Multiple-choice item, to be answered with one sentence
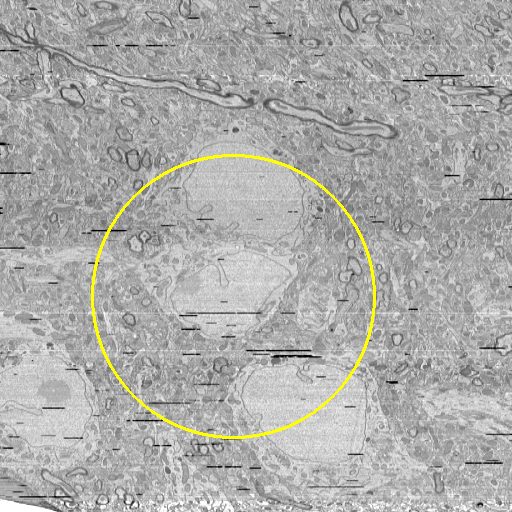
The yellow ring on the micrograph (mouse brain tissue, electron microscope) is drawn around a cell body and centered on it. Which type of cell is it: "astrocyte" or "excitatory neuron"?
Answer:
The ring is centered on an excitatory neuron.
